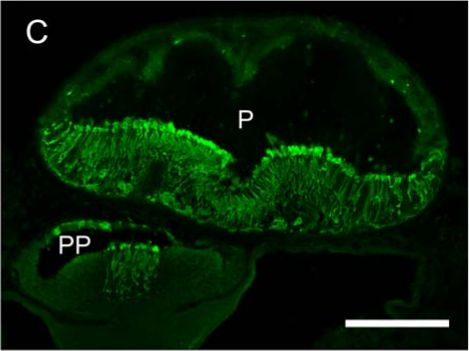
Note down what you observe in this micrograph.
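This is a section through the pineal organ, a hollow vesicle above the smaller parapineal organ, in which tall columnar photoreceptor cells of the lower wall are strongly labelled green. The labelled cells form a dense palisade whose brightest part lines the lumen, while the thin upper wall is only faintly labelled. A small cluster of similar labelled columnar cells is also seen in the parapineal organ below.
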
